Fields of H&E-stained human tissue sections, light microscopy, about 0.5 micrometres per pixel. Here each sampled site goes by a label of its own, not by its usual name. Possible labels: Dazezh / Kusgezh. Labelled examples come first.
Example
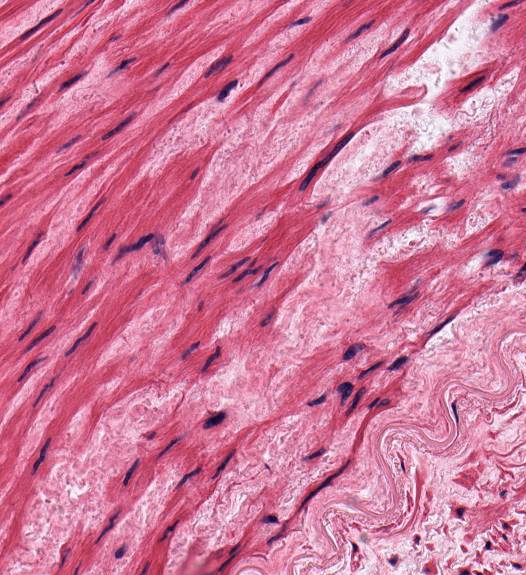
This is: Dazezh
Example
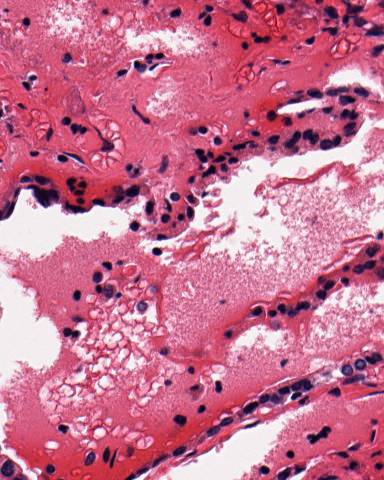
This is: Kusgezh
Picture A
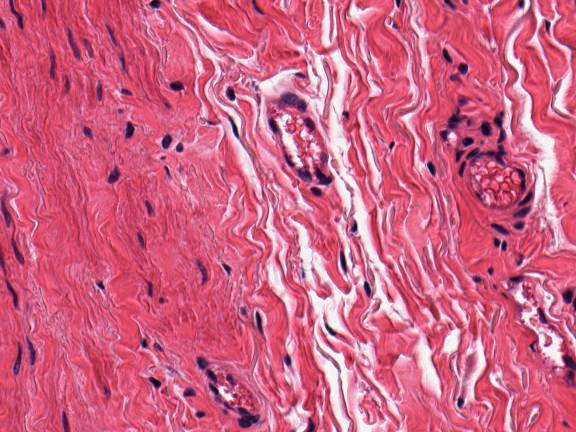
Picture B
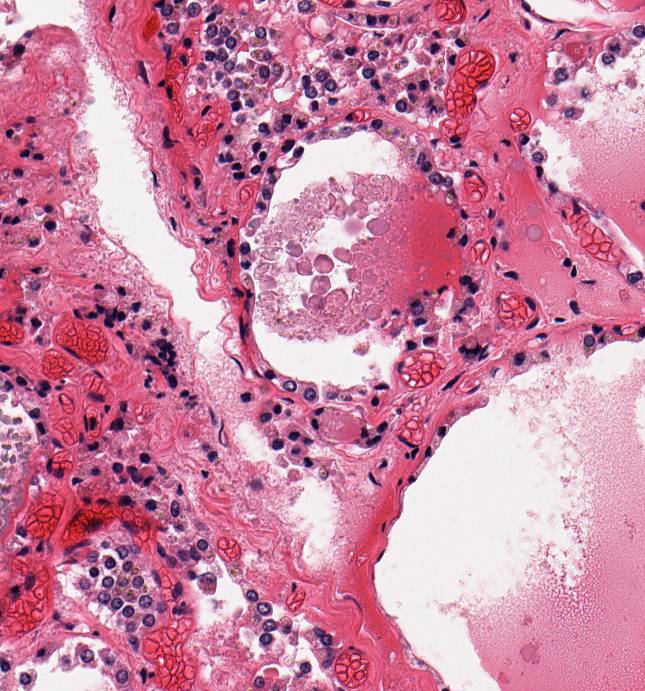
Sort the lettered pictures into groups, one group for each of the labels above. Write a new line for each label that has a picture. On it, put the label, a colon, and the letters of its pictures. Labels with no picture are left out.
Dazezh: A
Kusgezh: B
